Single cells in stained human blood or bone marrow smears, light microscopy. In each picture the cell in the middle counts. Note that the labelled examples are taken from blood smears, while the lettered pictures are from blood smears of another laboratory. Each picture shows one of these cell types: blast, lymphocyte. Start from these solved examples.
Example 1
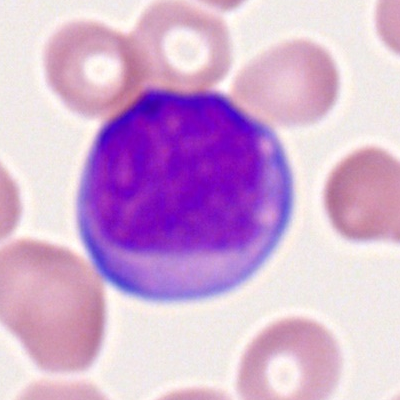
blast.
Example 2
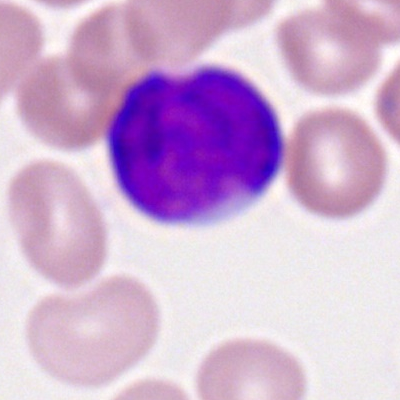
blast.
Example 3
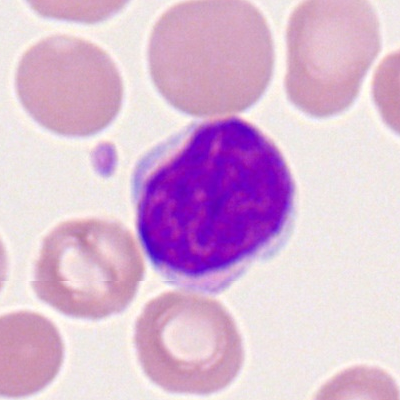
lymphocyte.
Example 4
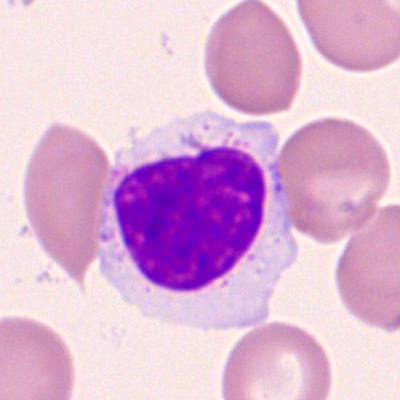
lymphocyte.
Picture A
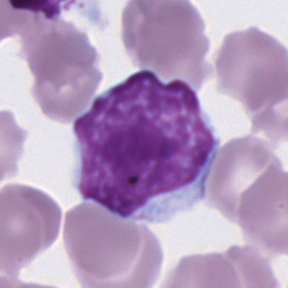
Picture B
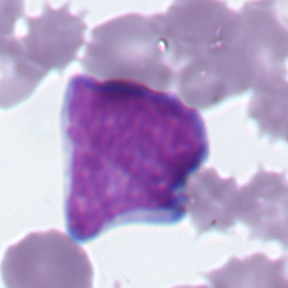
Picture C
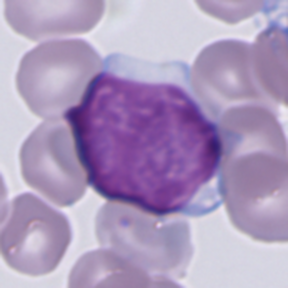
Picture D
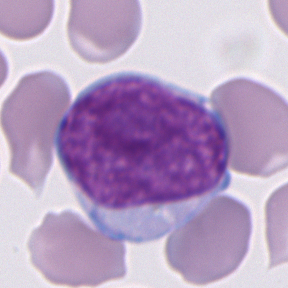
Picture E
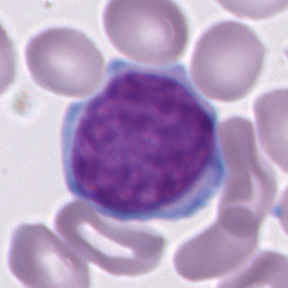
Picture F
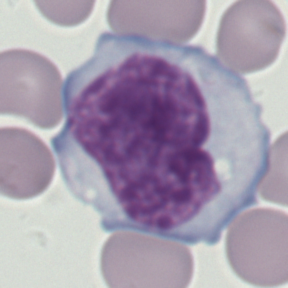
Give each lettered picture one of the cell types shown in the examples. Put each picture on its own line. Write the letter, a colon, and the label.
A: lymphocyte.
B: blast.
C: blast.
D: blast.
E: blast.
F: blast.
